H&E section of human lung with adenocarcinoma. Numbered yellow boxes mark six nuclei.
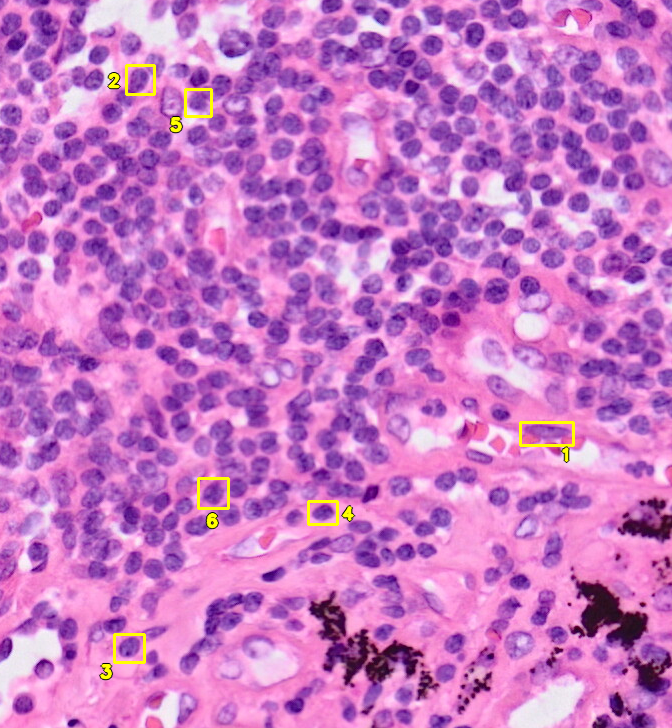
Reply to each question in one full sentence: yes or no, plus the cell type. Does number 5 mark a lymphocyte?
Yes, on this slide, the cell with number 5 is a lymphocyte.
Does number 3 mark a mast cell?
Yes, the cell identified by number 3 is a mast cell.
